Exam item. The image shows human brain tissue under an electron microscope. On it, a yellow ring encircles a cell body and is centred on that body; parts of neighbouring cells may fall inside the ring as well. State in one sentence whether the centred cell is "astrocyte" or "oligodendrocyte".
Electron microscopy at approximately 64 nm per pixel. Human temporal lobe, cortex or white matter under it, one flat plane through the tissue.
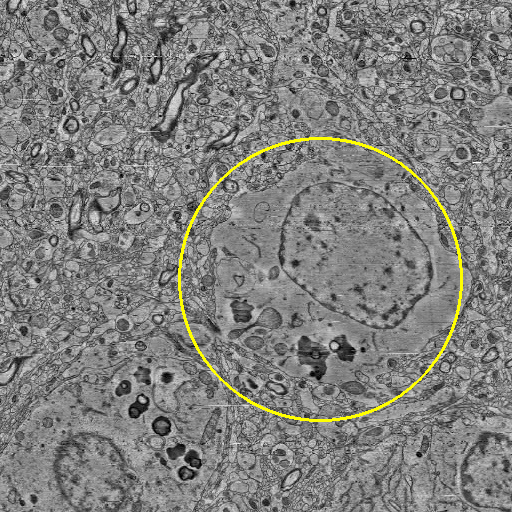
The cell body centred in the ring is an astrocyte.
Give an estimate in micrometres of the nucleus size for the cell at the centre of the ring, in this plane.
In this plane, roughly 11 by 9 micrometres.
